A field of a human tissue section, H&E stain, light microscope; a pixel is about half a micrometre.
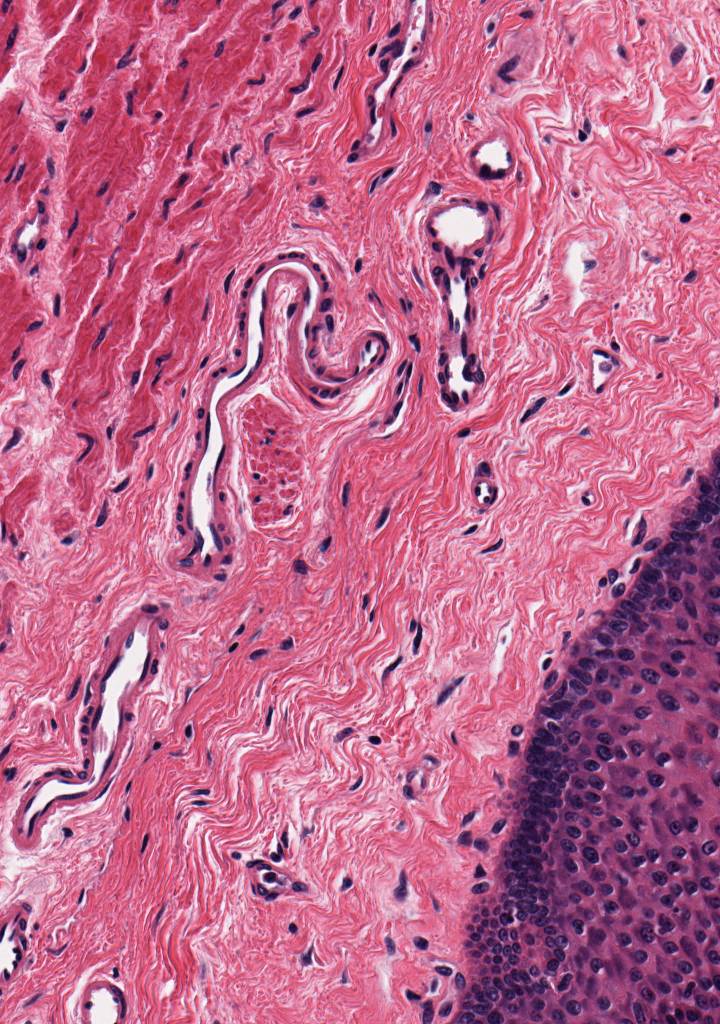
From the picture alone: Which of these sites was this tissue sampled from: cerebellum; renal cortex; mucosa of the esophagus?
mucosa of the esophagus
